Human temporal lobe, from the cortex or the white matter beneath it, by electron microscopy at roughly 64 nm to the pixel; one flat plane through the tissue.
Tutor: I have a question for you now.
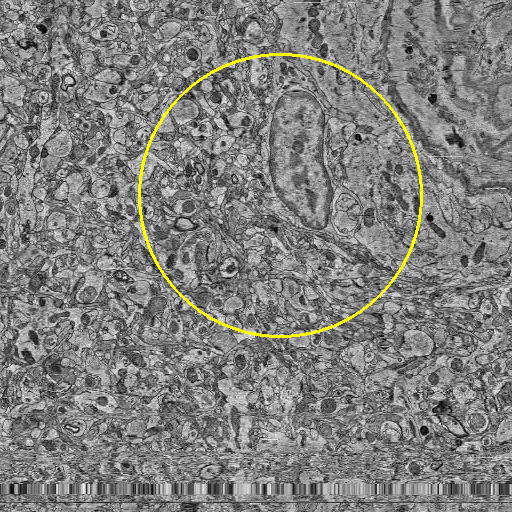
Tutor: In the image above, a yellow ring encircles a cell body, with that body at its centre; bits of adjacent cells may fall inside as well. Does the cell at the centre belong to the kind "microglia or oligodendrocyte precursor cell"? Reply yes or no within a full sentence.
Yes, the cell at the centre of the yellow ring in the picture is of that kind.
